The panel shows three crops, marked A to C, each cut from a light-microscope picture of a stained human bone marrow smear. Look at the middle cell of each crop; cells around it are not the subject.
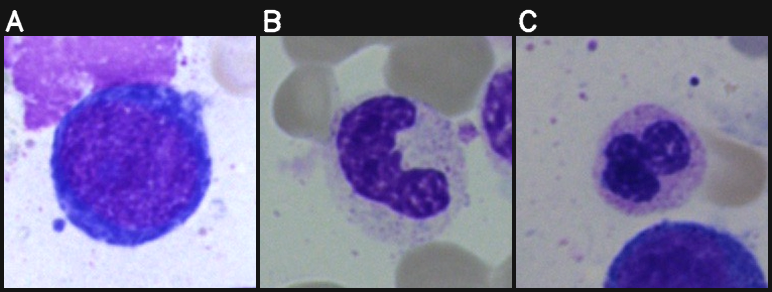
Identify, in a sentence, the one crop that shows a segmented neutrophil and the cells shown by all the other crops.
Crop by crop: crop C is a segmented neutrophil, while crop A is a proerythroblast and crop B is a band neutrophil.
